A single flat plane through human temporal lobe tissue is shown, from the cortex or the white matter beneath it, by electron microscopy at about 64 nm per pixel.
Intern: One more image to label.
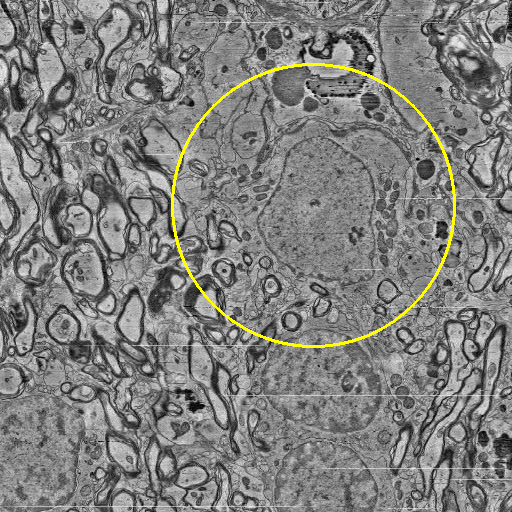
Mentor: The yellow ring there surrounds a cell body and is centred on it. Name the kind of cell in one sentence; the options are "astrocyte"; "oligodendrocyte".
The ring marks the cell body of an astrocyte.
